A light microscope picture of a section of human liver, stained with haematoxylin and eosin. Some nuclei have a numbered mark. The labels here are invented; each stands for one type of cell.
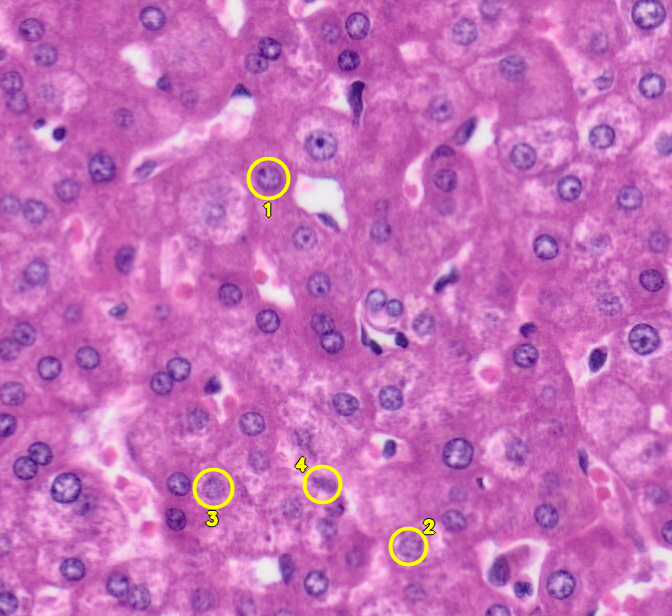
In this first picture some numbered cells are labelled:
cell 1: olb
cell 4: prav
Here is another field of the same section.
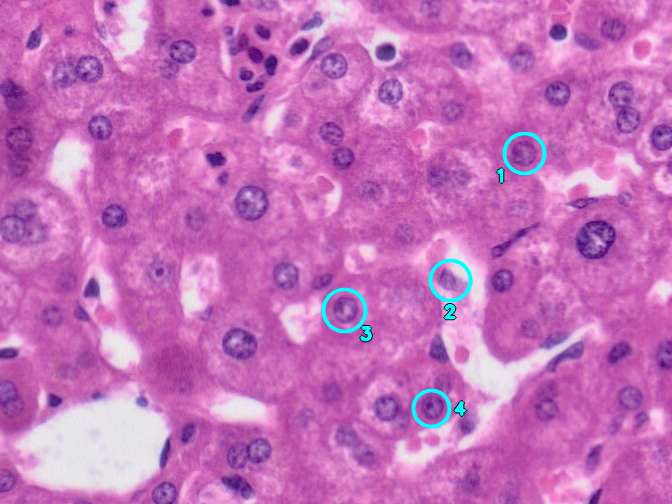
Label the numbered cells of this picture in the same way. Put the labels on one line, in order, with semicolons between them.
olb; prav; olb; olb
